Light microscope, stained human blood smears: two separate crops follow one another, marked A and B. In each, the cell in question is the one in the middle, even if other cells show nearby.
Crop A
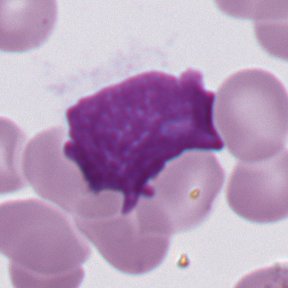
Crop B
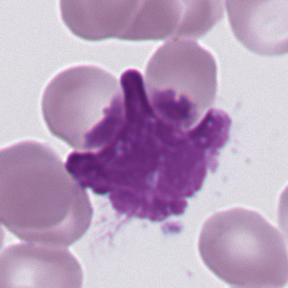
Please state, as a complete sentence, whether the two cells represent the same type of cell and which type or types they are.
Yes, both crops show smudge cells, one in each.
